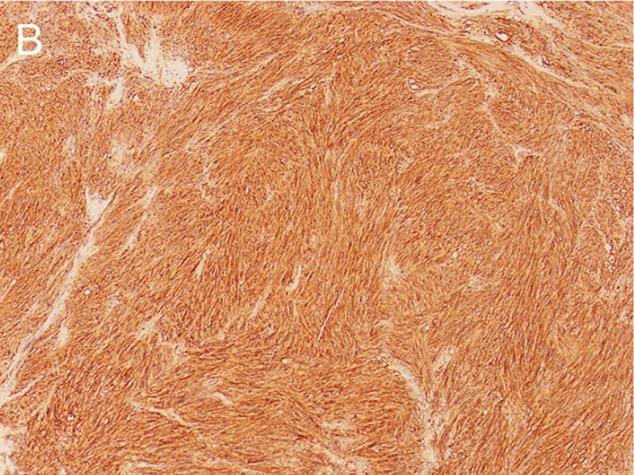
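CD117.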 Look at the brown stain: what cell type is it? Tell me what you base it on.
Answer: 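Diffuse brown stain fills nearly all the densely packed elongated cells. Cells lie in fascicles, with paler gaps only at thin stromal clefts. That points to this answer: tumor cells.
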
